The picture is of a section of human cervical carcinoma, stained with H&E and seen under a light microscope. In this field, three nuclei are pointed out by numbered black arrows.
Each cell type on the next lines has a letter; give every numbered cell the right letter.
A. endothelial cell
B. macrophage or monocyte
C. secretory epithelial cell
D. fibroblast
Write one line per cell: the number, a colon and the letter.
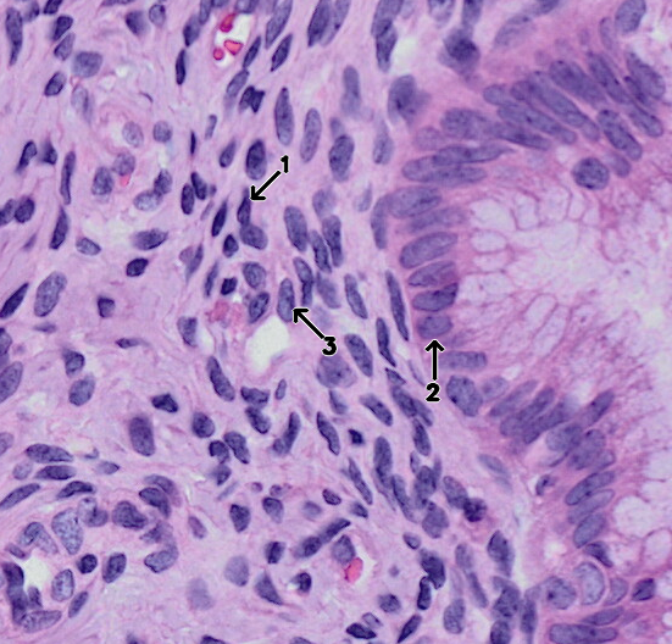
1: D
2: C
3: A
